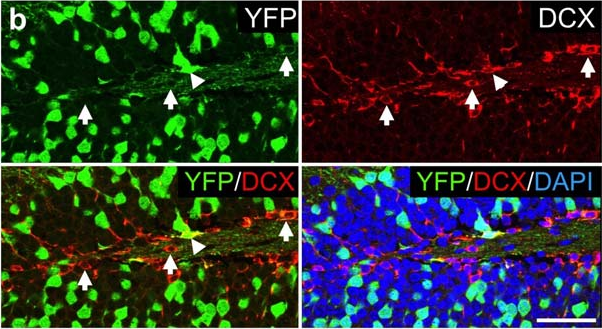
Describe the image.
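Blue nuclei are small, round and densely packed, outlining a broad cell layer beside a darker strip with few nuclei. Many round green cell bodies fill the layer. Red cells are fewer, small, with thin red processes, lying in a row along the border of the layer; most of them are not green. One cell near the border is both green and red, yellow in the merge, with a short process. Green fibres run along the darker strip.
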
